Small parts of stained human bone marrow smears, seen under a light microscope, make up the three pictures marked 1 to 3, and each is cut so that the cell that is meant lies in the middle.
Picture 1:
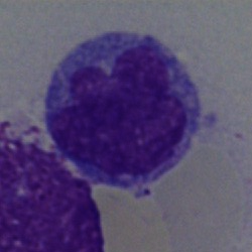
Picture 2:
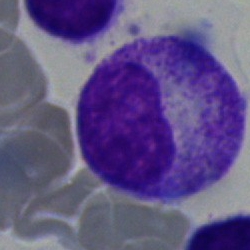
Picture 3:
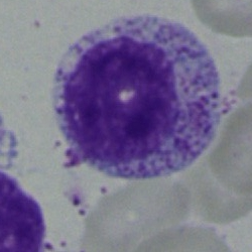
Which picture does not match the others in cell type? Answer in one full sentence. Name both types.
The different one is picture 1; it shows a monocyte, whereas all the others show myelocytes.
